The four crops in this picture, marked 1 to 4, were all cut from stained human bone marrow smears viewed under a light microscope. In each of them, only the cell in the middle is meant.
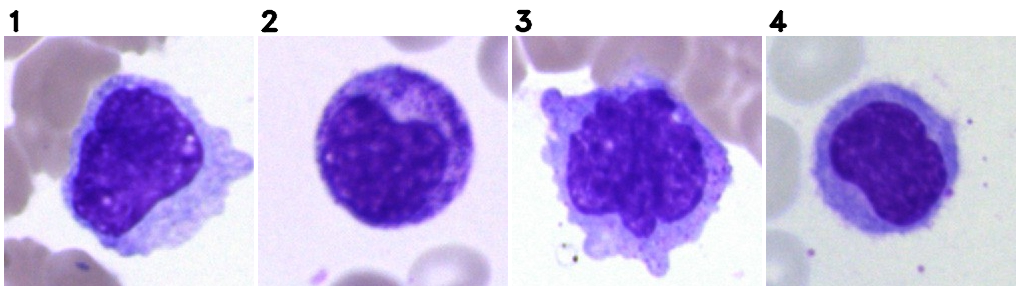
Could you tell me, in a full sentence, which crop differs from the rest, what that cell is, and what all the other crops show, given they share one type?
Crop 2 is the only crop with a promyelocyte, the others all showing monocytes.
